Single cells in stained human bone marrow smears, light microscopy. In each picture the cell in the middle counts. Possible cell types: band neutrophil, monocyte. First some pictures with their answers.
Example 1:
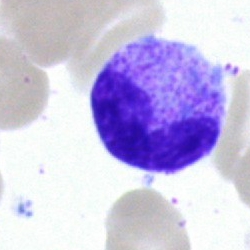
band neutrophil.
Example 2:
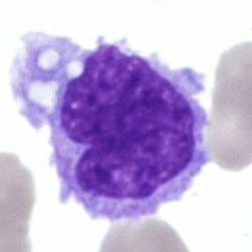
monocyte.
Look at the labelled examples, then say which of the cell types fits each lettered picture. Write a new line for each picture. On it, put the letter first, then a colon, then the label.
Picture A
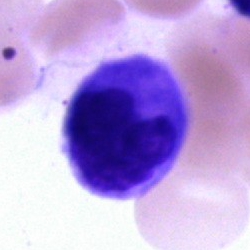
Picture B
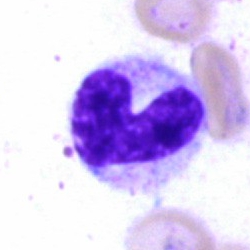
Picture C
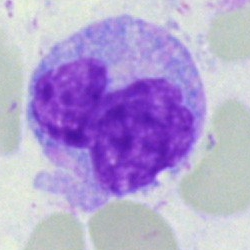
A: monocyte.
B: band neutrophil.
C: monocyte.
